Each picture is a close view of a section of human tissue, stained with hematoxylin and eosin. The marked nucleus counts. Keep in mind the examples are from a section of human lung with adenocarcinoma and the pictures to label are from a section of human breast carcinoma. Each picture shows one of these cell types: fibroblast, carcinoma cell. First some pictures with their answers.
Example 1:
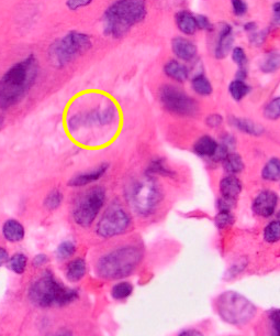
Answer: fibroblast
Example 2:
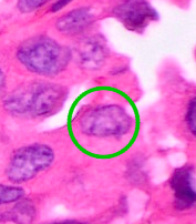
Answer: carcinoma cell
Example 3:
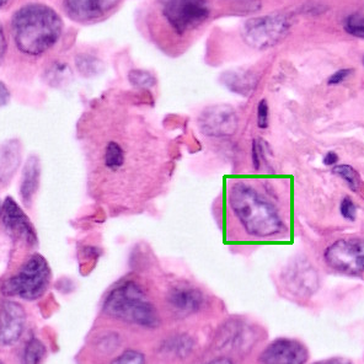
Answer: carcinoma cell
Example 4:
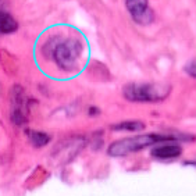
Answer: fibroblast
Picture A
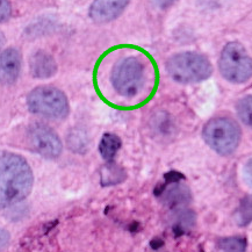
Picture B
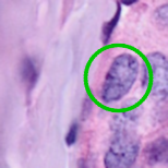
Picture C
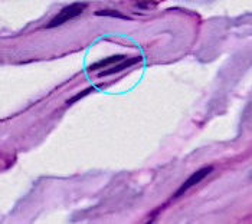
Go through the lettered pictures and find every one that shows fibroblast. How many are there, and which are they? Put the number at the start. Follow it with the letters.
1: C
